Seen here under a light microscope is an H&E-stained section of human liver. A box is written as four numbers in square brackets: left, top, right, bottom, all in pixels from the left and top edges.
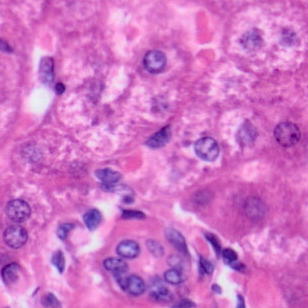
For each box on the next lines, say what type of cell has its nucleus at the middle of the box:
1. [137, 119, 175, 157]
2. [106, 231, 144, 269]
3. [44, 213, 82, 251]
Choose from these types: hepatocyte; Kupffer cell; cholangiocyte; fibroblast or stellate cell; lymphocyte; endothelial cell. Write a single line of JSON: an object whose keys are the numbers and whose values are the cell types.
{"1": "fibroblast or stellate cell", "2": "cholangiocyte", "3": "fibroblast or stellate cell"}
